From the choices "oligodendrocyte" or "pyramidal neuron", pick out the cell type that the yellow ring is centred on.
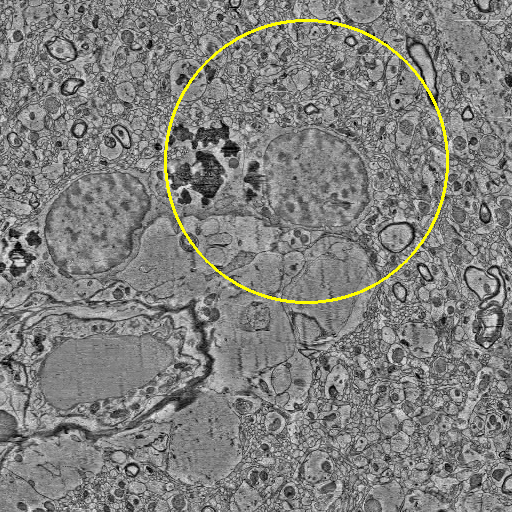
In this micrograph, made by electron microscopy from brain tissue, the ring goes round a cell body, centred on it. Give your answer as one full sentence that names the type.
The yellow ring is centred on an oligodendrocyte, whose cell body it encircles in the picture.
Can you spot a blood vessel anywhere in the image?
Yes, the image shows a blood vessel.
